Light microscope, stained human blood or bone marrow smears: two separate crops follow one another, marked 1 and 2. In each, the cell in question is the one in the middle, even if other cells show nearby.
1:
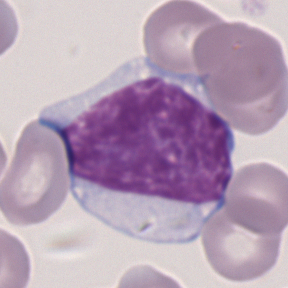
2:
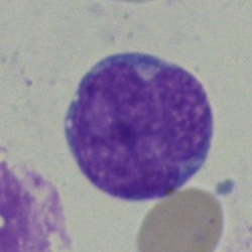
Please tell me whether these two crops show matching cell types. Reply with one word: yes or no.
yes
